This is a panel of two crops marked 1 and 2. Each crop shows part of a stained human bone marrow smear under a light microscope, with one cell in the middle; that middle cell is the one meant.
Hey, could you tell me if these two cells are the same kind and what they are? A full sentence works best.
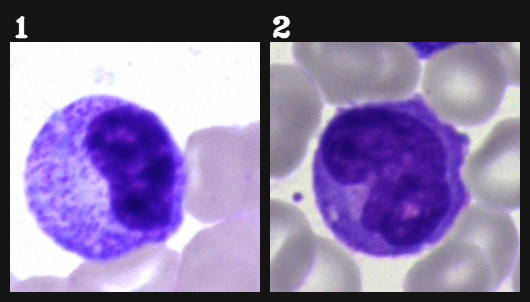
No, crop 1 shows a metamyelocyte, and the cell in crop 2 is a monocyte.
